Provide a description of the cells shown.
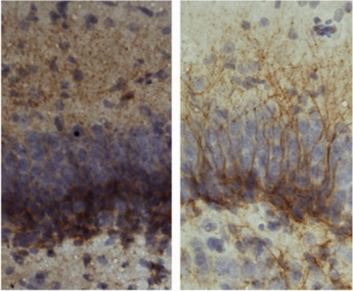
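Two side-by-side sections of the dentate gyrus, each with a compact band of granule cells whose small, round, densely packed nuclei are stained blue. Above the band lies a paler, cell-sparse molecular layer. In the left section brown stain is diffuse in the molecular layer and forms a dark band along the lower edge of the granule cell layer. In the right section fine brown processes arise from cells at the base of the granule cell layer and run in parallel, radially, through the band into the molecular layer, giving a comb-like pattern; the tissue beneath the band is pale.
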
